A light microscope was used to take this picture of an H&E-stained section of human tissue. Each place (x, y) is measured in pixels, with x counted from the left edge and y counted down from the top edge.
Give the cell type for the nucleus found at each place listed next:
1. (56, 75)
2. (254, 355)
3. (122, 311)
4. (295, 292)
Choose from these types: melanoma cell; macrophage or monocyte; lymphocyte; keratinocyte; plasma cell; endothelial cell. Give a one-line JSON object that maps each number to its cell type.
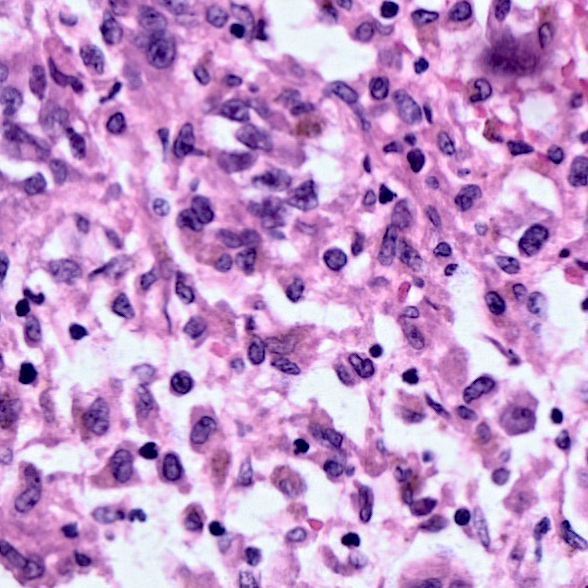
{"1": "melanoma cell", "2": "macrophage or monocyte", "3": "macrophage or monocyte", "4": "macrophage or monocyte"}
